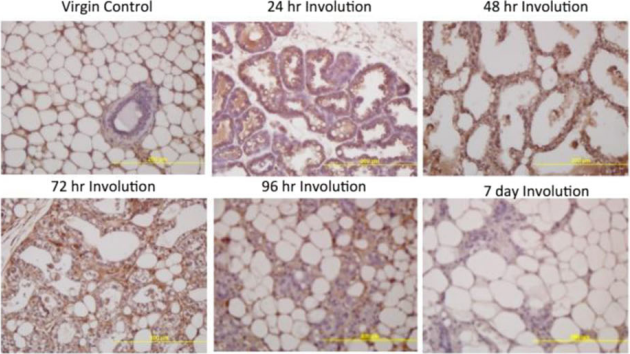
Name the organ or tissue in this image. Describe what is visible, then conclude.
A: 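Large empty fat cells fill much of the tissue. Epithelial ducts and alveoli with open lumens lie among the fat cells.
Answer: mammary glands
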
